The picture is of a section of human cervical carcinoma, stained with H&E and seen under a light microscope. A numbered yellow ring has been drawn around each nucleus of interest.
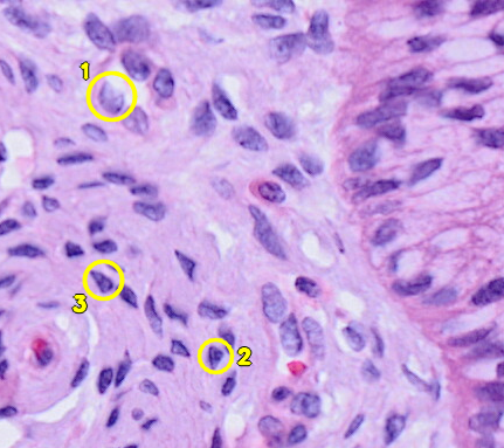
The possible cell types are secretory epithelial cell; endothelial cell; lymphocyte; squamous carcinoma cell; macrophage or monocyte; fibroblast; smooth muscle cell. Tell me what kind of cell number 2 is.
fibroblast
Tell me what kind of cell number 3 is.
fibroblast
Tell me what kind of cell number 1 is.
endothelial cell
